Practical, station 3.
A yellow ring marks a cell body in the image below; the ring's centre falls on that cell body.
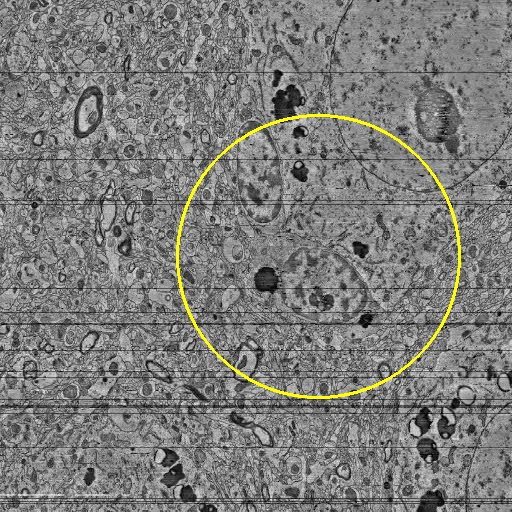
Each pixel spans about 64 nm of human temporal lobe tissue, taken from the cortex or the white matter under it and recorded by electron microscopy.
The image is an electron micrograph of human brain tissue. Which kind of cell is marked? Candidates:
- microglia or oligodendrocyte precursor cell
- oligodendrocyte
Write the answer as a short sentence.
The marked cell body is that of an oligodendrocyte.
